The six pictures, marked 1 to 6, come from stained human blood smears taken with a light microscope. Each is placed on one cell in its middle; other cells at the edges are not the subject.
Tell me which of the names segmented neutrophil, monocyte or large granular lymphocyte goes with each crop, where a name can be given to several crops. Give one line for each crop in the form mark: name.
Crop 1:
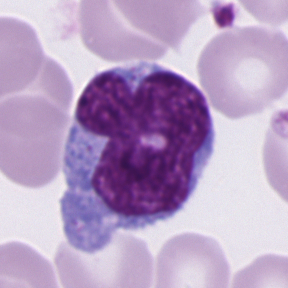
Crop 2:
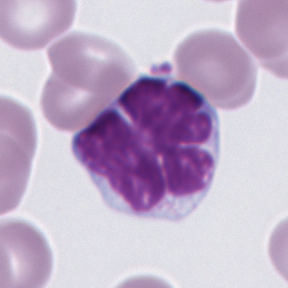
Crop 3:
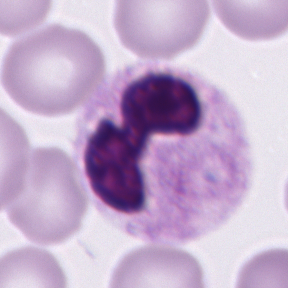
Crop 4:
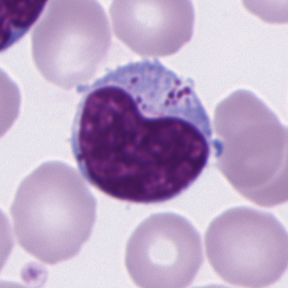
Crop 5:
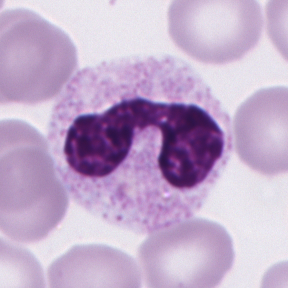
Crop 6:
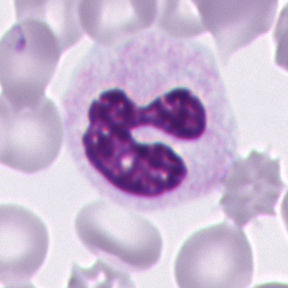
1: monocyte
2: large granular lymphocyte
3: segmented neutrophil
4: large granular lymphocyte
5: segmented neutrophil
6: segmented neutrophil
